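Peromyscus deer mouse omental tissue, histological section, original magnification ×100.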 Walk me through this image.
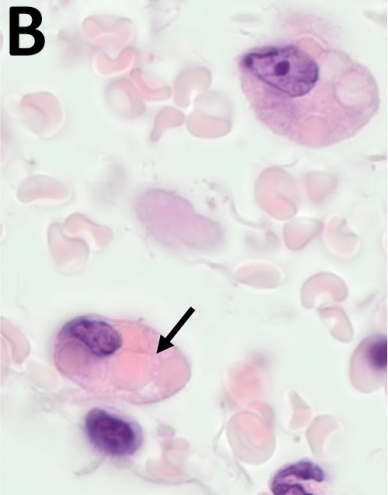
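Foamy macrophages lie among scattered free erythrocytes on a pale background. The lower one has an eccentric, dark nucleus pushed to one side, and its cytoplasm holds several rounded pink bodies matching the free red cells in colour and size, besides clear spaces. The free erythrocytes are pale pink, many bent, crescent or folded in shape. A smaller cell with a dense dark nucleus lies below the lower macrophage.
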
